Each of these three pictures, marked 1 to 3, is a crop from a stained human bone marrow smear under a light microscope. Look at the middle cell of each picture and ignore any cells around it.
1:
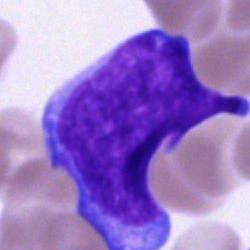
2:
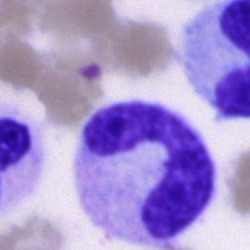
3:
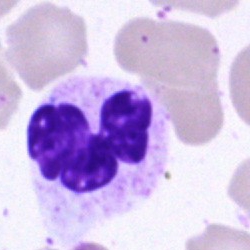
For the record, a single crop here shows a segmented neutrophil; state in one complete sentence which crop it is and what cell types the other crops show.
The cell of interest in crop 3 is a segmented neutrophil, while crop 1 is a blast and crop 2 is a band neutrophil.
